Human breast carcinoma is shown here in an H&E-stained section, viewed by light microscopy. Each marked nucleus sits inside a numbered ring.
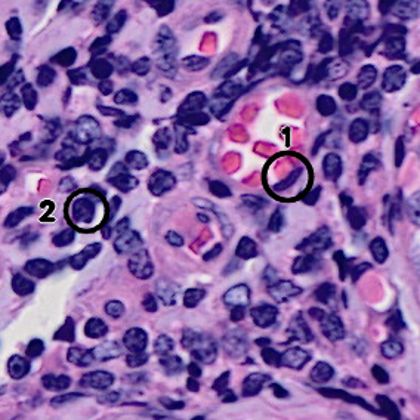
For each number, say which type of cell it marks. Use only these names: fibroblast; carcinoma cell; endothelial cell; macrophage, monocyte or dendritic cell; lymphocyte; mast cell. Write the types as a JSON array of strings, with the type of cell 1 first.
["endothelial cell", "lymphocyte"]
